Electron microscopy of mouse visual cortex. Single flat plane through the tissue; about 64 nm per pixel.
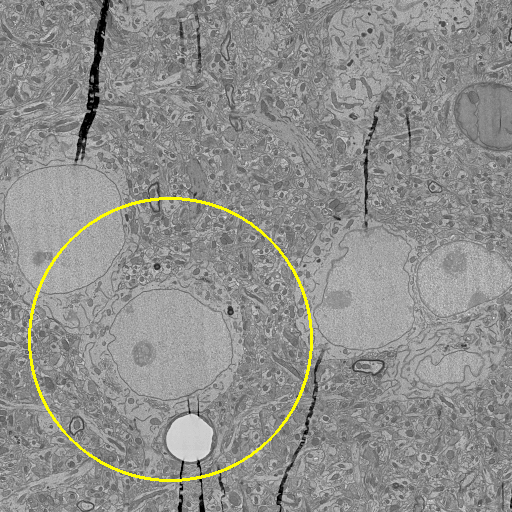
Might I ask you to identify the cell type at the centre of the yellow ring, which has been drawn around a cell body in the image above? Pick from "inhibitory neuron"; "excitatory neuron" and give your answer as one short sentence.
The centre of the ring falls on an excitatory neuron.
